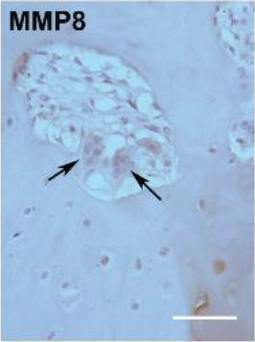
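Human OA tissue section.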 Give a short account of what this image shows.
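The cavity holds many loosely arranged cells with pale, vacuolated cytoplasm. The surrounding matrix is smooth and pale, with scattered small cells lying singly in lacunae.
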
